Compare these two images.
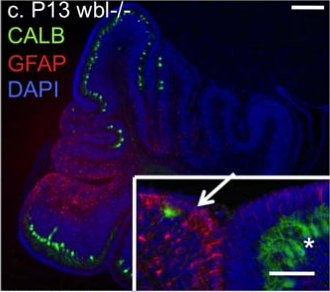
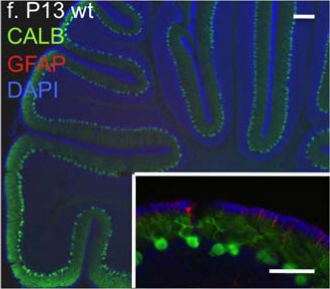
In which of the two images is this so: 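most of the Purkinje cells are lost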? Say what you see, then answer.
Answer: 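Second image: a continuous row of green cell bodies lines every folium. First image: green cell bodies are sparse and absent from many folia.
The first image.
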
